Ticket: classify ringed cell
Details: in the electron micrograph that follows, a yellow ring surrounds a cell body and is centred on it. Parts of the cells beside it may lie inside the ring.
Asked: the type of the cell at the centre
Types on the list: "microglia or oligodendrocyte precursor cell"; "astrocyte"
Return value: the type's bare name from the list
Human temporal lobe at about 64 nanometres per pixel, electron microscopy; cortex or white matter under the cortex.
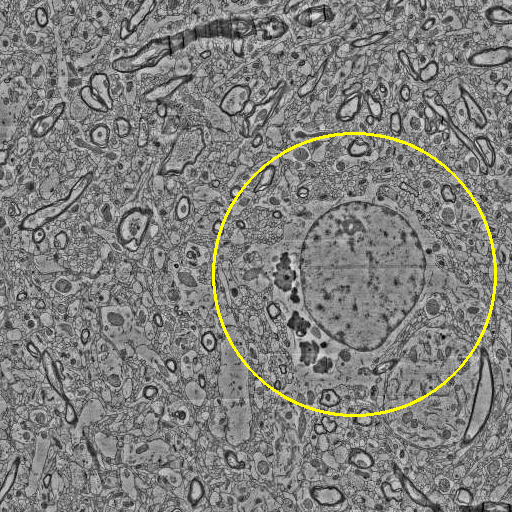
astrocyte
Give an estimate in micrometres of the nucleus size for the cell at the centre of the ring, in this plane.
In this plane, about 9 micrometres in length and 8 in width.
